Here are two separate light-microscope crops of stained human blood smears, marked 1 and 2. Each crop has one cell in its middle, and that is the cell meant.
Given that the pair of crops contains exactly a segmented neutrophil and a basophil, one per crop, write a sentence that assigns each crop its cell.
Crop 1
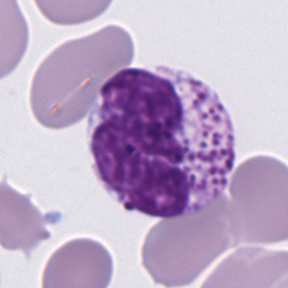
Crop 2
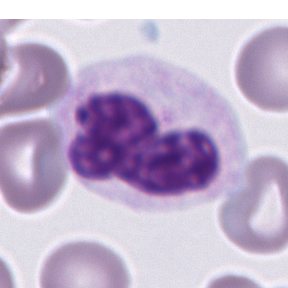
The middle cell in crop 1 is a basophil; the middle cell in crop 2 is a segmented neutrophil.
